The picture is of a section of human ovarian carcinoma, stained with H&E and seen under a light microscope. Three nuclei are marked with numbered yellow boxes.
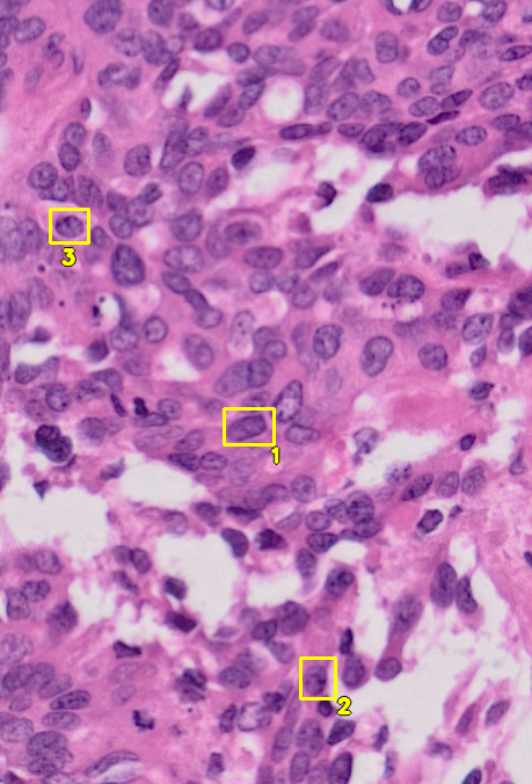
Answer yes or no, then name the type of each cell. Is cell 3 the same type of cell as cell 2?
No, the identities are a macrophage or monocyte for cell 3 and a carcinoma cell for cell 2.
